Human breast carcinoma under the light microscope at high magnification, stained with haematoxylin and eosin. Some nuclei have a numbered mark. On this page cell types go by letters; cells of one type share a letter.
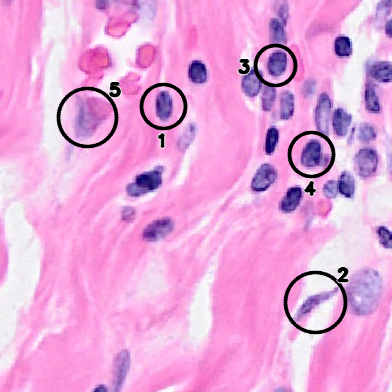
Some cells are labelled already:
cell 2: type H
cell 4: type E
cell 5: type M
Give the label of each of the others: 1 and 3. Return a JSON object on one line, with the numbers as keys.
{"1": "type E", "3": "type E"}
